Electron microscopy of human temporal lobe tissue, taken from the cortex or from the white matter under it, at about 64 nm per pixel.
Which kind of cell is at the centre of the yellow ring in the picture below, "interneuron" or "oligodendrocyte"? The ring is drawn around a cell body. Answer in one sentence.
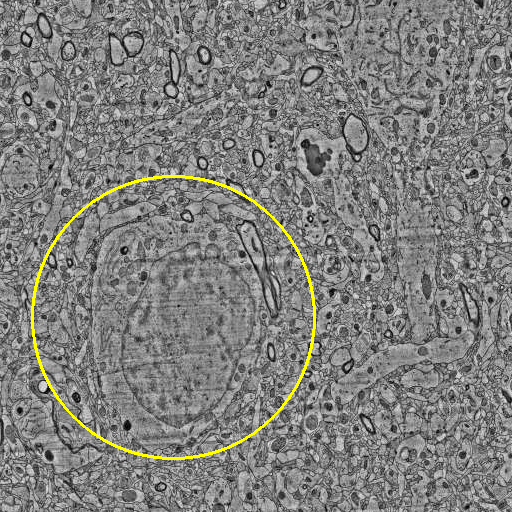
The ring's central cell is an interneuron.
